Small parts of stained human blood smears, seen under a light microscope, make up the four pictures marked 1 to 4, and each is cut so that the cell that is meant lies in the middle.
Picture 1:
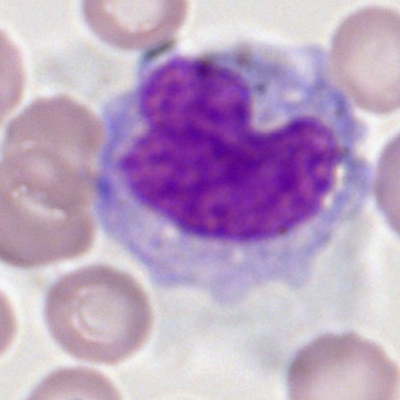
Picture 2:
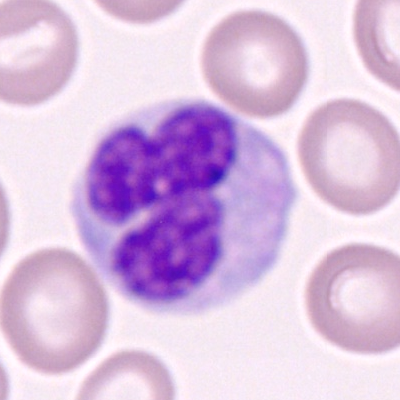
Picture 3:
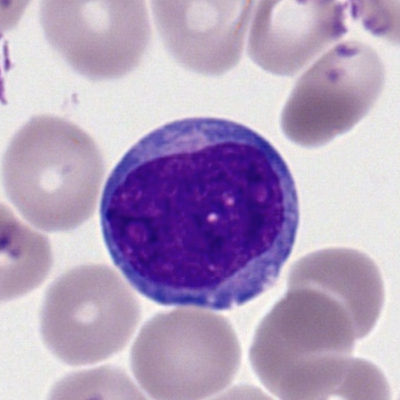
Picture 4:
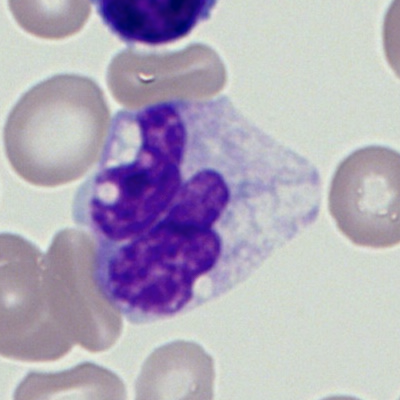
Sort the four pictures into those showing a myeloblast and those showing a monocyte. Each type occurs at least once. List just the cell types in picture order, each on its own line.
monocyte
monocyte
myeloblast
monocyte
